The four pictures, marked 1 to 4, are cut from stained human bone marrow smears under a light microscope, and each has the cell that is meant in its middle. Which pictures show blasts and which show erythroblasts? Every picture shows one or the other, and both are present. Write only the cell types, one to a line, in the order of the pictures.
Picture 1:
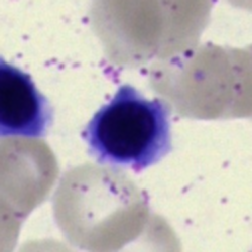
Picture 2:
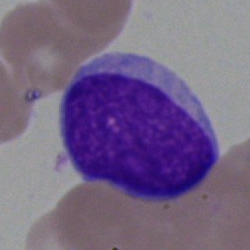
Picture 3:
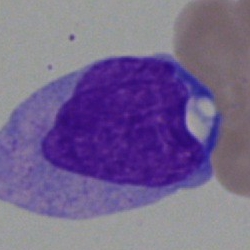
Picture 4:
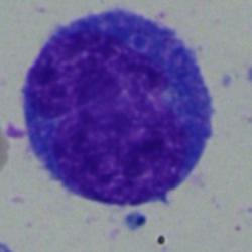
erythroblast
blast
blast
blast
